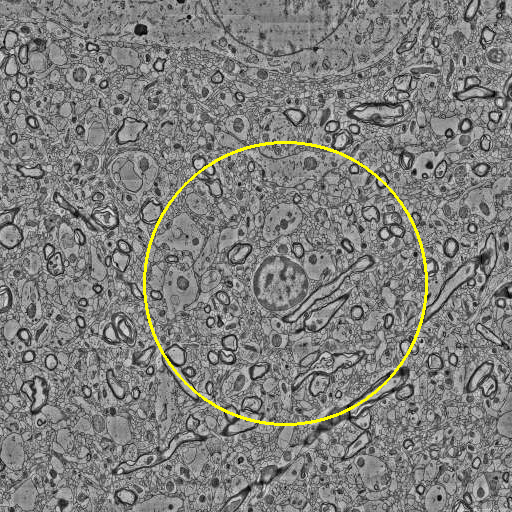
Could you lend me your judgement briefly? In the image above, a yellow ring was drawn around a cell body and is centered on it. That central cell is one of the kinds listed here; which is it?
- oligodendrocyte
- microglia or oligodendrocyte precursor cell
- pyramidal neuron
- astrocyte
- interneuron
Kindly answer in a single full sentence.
Going by the list, a microglial cell or oligodendrocyte precursor cell is the kind at the ring's center in the picture.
